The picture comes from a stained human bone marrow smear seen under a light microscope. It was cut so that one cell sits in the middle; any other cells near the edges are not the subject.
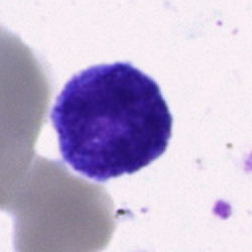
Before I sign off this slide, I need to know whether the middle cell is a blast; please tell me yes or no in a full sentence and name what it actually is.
No, what sits in the centre of the crop is a lymphocyte rather than a blast.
